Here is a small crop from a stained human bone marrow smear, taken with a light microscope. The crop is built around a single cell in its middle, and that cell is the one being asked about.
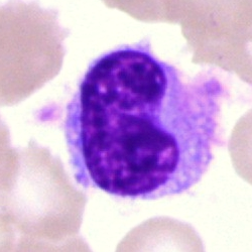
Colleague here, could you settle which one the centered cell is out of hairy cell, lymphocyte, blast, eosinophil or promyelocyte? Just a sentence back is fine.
The cell in the middle of this crop is a hairy cell.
